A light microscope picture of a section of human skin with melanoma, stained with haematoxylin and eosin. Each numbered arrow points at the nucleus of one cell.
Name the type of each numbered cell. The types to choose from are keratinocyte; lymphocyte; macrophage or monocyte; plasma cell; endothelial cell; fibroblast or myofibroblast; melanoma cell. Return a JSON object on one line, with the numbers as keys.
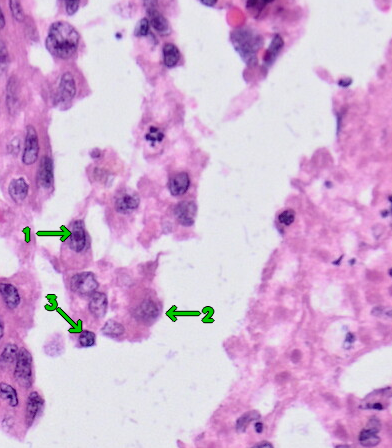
{"1": "melanoma cell", "2": "melanoma cell", "3": "lymphocyte"}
